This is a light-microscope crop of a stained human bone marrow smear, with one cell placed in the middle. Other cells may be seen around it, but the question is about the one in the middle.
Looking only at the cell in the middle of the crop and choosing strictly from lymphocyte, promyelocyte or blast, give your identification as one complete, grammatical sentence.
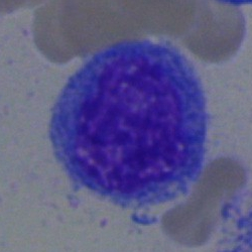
Where the crop is centred, there is a blast.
